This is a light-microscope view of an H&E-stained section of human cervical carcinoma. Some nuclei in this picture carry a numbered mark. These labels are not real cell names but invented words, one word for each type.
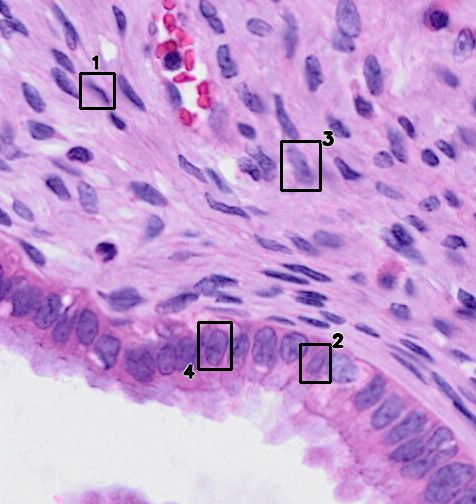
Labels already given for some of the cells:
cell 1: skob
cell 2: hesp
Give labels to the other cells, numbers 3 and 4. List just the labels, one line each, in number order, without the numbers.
skob
hesp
